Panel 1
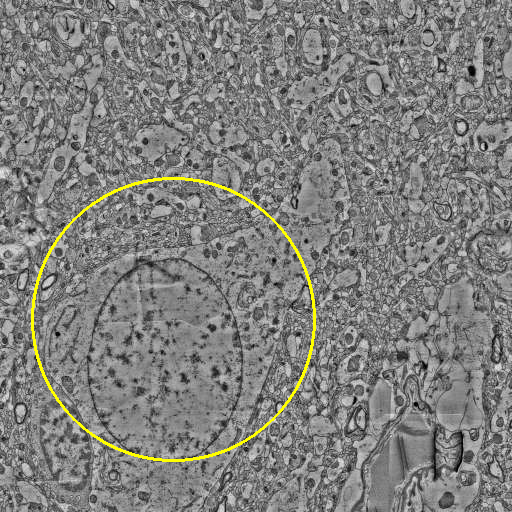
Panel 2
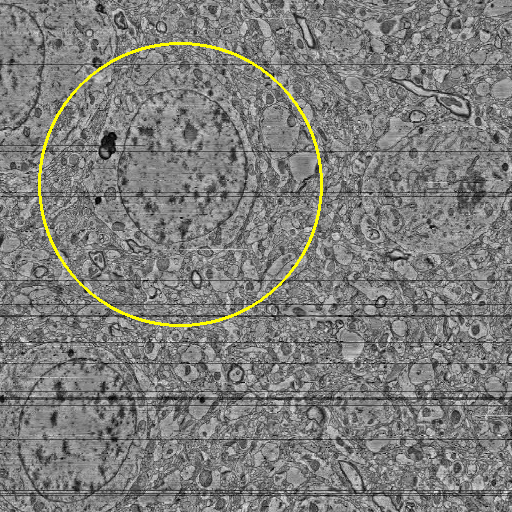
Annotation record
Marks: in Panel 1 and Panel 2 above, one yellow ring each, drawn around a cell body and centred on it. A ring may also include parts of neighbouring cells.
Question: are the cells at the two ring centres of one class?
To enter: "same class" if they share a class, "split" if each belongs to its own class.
same class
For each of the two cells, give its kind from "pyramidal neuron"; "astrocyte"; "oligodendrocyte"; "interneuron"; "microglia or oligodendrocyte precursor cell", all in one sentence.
Each of the two pictures has a pyramidal neuron at the ring centre.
